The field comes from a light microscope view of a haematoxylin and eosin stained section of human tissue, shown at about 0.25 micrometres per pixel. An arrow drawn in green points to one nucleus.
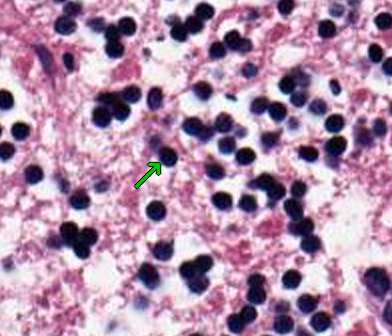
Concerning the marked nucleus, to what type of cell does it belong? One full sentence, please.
The mark indicates the nucleus of a cerebellar granule cell.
